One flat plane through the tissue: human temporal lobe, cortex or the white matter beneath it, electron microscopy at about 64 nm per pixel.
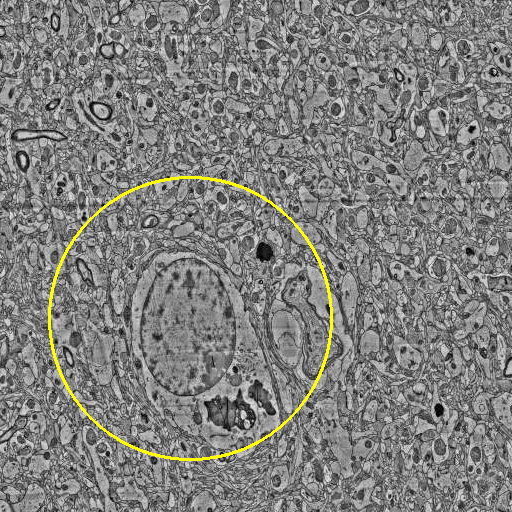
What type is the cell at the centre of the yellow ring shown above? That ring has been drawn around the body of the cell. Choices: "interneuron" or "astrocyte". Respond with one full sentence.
My answer is that an astrocyte lies at the centre of the yellow ring above.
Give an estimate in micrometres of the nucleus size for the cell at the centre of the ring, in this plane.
Roughly 9 by 6 micrometres is the size of the nucleus in this plane.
